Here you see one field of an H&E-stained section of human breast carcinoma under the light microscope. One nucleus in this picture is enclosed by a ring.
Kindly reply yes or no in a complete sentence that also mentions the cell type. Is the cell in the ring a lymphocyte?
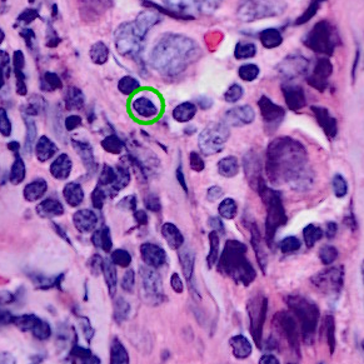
Yes, the cell type of the cell in the ring is that of a lymphocyte.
